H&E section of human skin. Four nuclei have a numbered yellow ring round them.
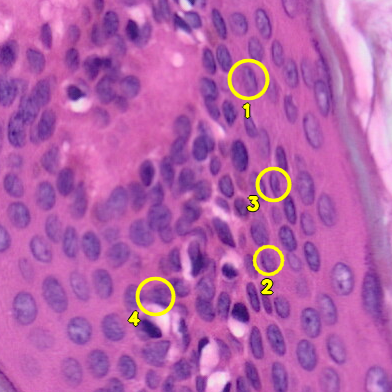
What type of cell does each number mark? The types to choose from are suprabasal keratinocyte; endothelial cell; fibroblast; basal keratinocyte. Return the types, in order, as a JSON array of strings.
["suprabasal keratinocyte", "basal keratinocyte", "suprabasal keratinocyte", "basal keratinocyte"]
